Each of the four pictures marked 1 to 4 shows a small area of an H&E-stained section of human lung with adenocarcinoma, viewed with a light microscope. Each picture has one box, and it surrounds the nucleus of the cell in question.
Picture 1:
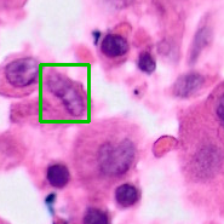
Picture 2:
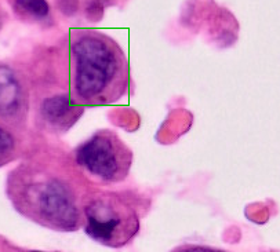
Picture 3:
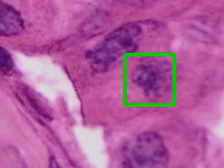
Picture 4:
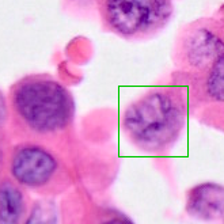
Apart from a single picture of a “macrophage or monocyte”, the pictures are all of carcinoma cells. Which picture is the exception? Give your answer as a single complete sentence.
Picture 1 shows the “macrophage or monocyte”.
